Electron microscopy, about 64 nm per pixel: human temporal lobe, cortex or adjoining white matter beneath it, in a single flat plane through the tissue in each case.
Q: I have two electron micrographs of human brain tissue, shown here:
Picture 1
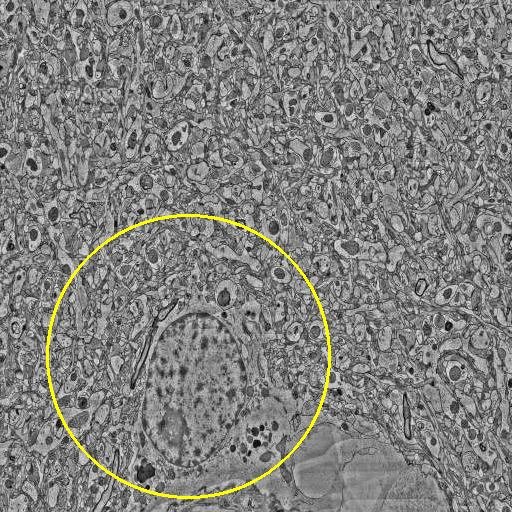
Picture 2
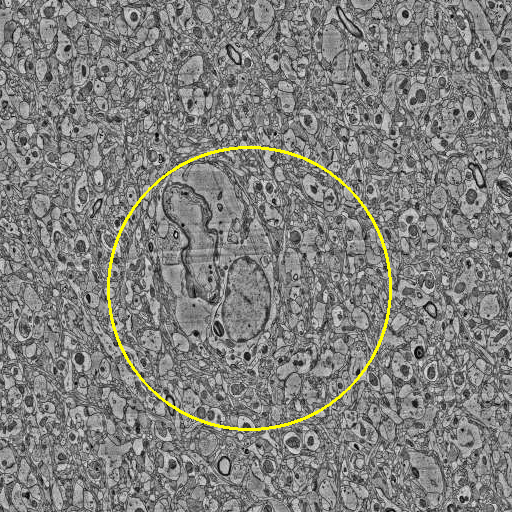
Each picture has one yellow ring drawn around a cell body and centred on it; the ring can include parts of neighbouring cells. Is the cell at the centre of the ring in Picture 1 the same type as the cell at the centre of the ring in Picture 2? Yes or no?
no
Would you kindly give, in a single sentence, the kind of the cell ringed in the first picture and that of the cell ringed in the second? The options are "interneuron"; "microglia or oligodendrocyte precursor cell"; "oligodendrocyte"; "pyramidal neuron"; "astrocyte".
The second cell is a microglial cell or oligodendrocyte precursor cell, and the first cell is an astrocyte.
